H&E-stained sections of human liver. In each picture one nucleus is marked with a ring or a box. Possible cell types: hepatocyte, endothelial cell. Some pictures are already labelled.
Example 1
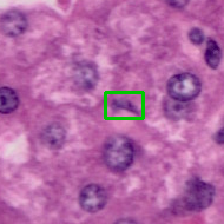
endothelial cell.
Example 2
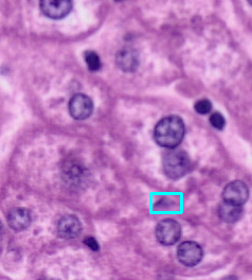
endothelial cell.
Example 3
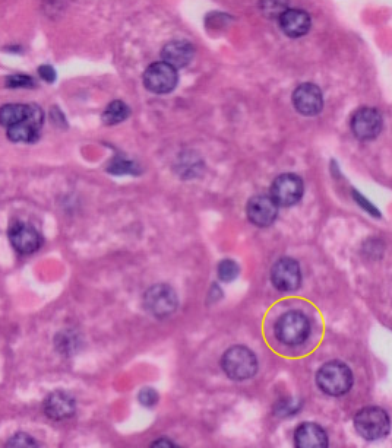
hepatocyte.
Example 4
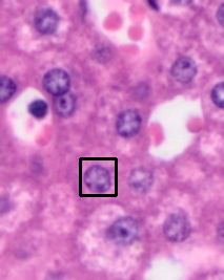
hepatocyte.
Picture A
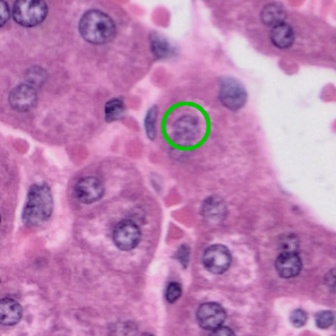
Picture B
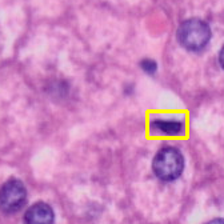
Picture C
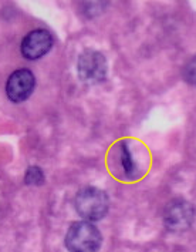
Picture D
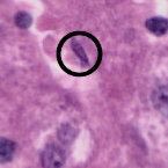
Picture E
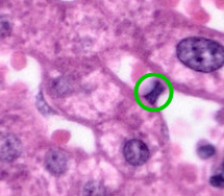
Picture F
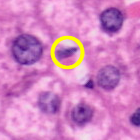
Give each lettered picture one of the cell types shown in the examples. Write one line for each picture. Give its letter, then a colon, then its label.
A: hepatocyte.
B: endothelial cell.
C: endothelial cell.
D: endothelial cell.
E: endothelial cell.
F: endothelial cell.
